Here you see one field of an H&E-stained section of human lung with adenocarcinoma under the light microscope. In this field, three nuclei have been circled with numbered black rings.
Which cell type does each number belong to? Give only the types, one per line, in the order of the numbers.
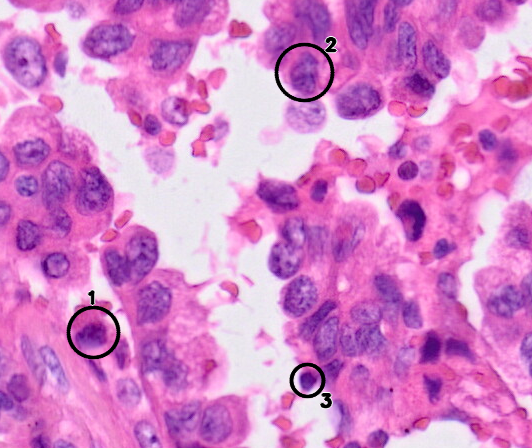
carcinoma cell
carcinoma cell
lymphocyte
